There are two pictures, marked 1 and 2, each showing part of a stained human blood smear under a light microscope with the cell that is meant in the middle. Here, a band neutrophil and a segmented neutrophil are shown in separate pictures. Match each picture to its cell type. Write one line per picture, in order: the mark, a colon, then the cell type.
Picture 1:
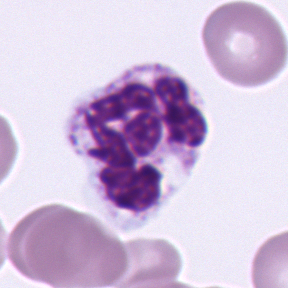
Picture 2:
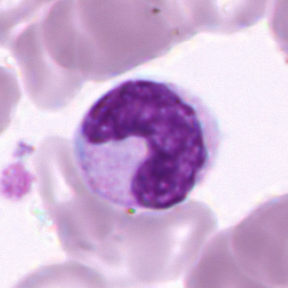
1: segmented neutrophil
2: band neutrophil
